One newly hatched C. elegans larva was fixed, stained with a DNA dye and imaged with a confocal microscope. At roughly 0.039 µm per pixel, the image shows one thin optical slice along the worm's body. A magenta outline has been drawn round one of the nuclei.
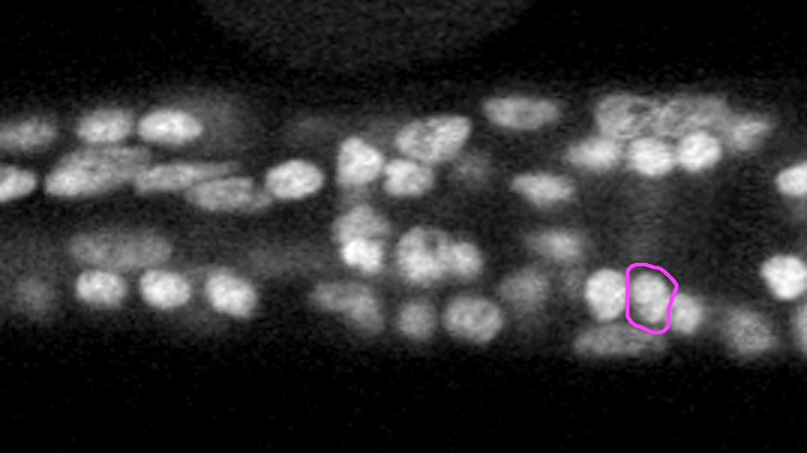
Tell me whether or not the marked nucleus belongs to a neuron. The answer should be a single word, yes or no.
yes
